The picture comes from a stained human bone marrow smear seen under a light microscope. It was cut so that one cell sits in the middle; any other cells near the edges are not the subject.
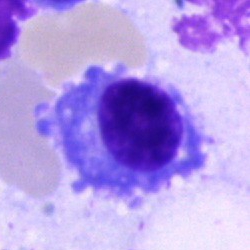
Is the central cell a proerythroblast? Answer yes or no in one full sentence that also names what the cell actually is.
No, looking at the central cell, it is a plasma cell rather than a proerythroblast.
